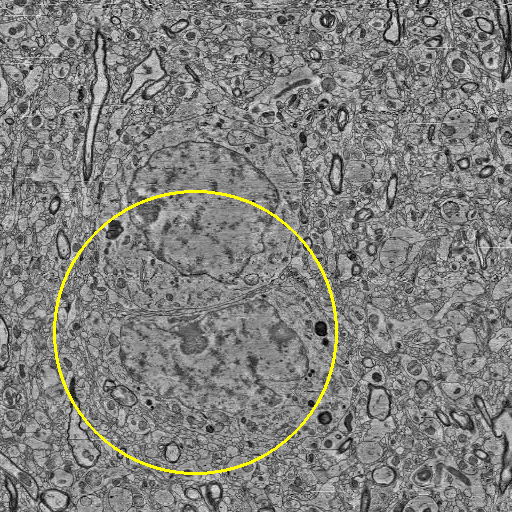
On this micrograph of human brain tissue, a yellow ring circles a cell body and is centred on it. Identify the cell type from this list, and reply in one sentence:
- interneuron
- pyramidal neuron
The cell at the centre is an interneuron.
